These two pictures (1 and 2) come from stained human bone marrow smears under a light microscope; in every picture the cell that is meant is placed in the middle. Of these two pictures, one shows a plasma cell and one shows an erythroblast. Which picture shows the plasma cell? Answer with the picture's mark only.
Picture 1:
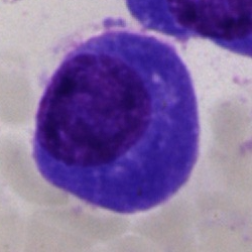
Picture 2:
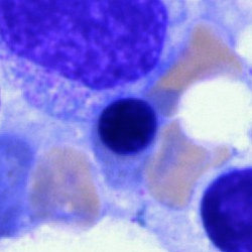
1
